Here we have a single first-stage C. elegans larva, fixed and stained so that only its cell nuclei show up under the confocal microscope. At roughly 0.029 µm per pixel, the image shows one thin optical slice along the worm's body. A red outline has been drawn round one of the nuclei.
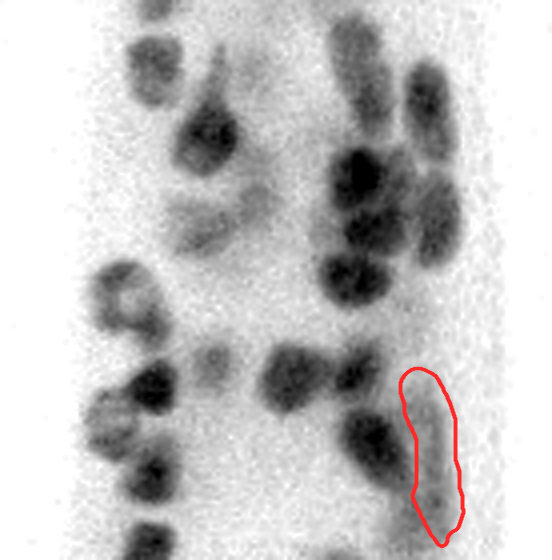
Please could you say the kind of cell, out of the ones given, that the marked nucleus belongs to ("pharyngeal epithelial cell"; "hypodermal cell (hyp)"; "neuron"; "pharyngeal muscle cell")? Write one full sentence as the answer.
What is marked is the nucleus of a hypodermal cell (hyp).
